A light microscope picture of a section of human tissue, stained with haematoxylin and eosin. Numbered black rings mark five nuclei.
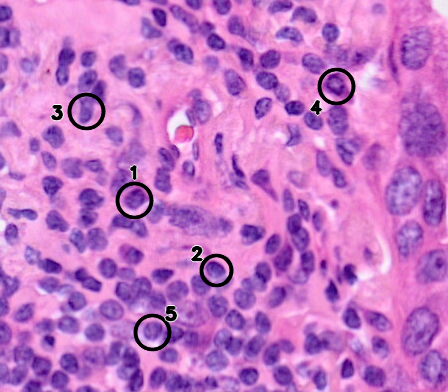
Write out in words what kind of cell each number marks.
Cell 1 is a plasma cell, cell 2 is a lymphocyte, cell 3 is a lymphocyte, cell 4 is a plasma cell and cell 5 is a lymphocyte.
